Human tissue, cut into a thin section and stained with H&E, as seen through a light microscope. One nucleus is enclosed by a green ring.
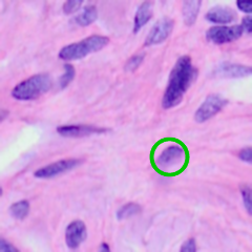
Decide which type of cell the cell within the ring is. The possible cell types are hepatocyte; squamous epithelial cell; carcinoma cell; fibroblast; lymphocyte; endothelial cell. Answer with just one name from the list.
fibroblast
